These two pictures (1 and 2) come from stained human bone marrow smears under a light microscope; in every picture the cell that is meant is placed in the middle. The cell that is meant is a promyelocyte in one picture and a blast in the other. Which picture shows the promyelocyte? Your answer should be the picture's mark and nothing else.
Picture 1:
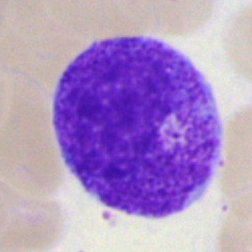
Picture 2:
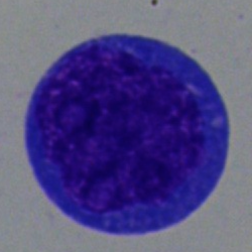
1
